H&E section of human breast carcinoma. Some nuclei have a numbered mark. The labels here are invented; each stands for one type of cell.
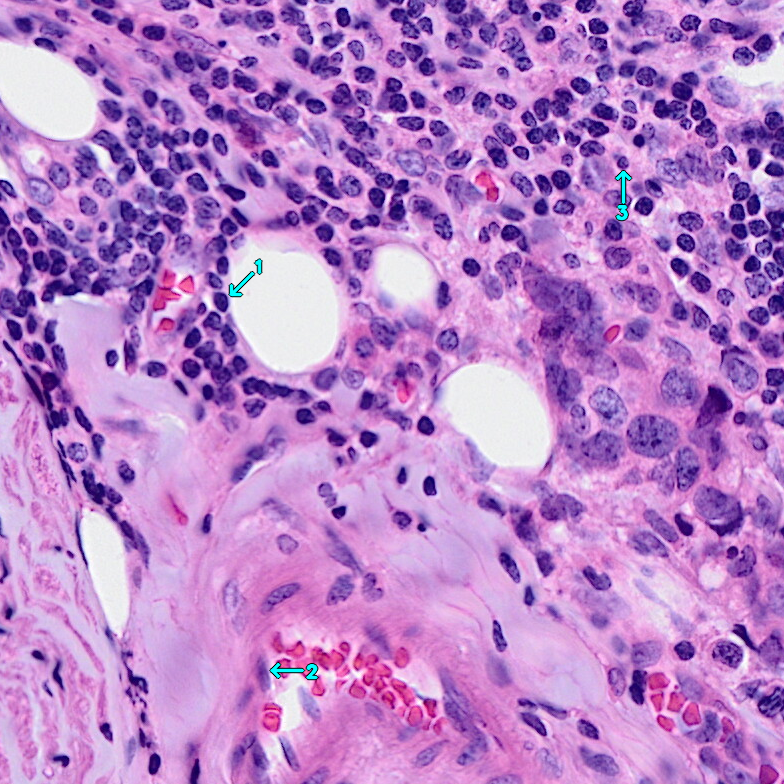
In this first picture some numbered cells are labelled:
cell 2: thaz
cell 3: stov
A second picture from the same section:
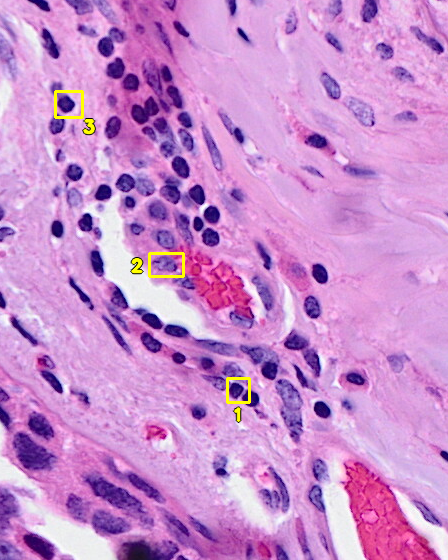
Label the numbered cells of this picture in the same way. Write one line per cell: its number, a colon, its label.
1: stov
2: thaz
3: stov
